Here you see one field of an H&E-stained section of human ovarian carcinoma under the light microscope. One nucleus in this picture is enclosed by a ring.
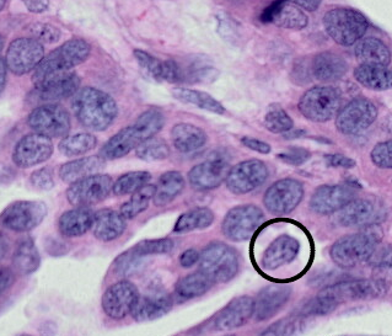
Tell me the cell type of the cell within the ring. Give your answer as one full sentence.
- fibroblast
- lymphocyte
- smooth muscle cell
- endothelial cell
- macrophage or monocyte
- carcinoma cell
What the cell within the ring represents is a macrophage or monocyte.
